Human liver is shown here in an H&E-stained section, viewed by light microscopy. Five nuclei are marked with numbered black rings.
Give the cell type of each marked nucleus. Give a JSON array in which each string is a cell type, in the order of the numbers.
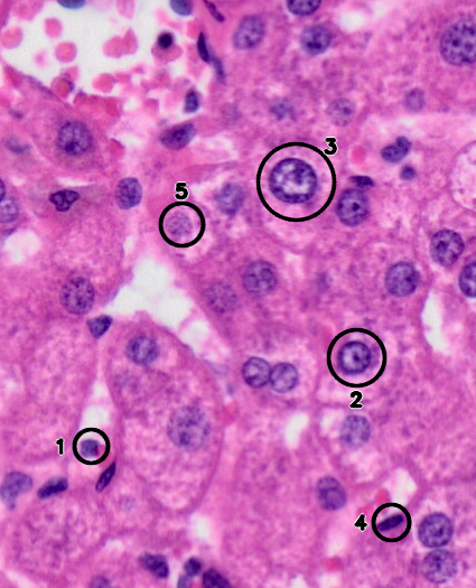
["lymphocyte", "hepatocyte", "hepatocyte", "fibroblast or stellate cell", "hepatocyte"]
